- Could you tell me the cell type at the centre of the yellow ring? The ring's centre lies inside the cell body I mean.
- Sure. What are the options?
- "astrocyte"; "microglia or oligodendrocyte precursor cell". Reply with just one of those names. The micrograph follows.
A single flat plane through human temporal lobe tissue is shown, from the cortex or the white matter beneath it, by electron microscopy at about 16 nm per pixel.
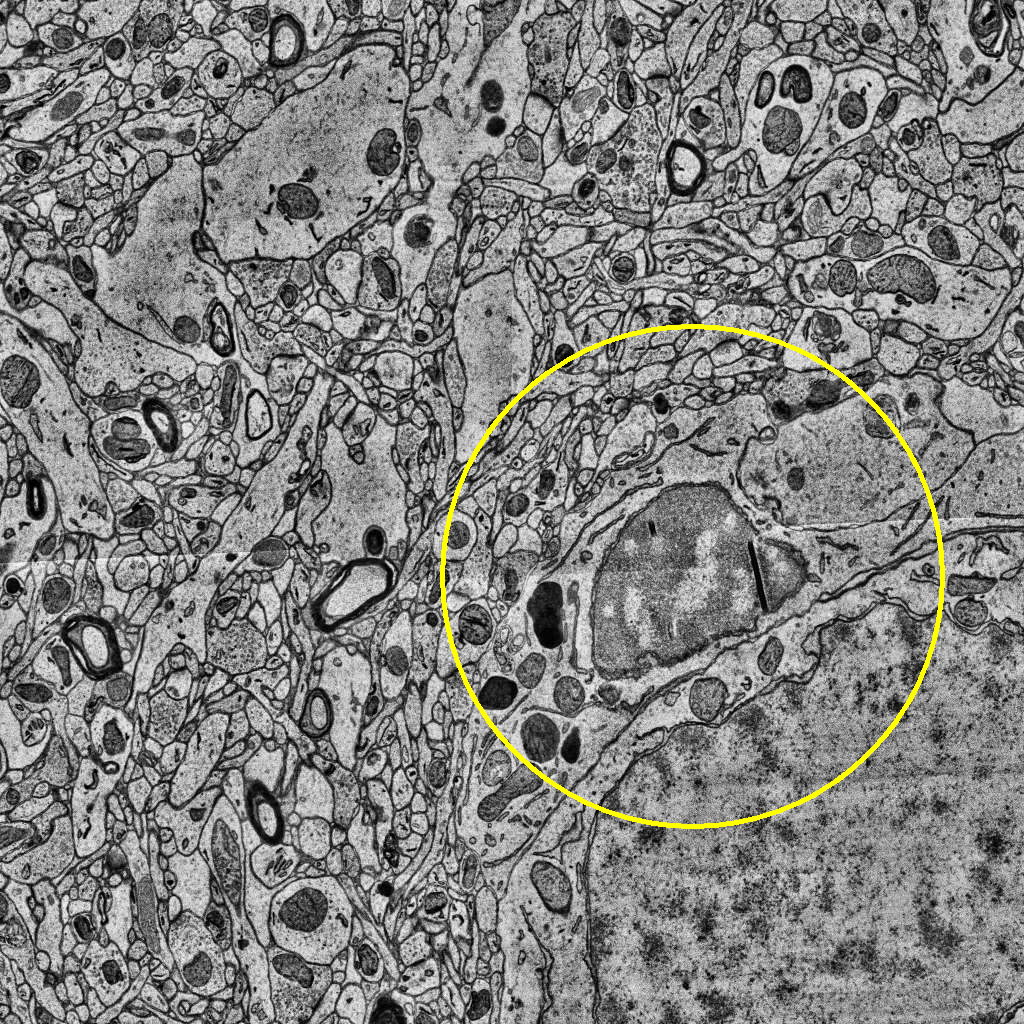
microglia or oligodendrocyte precursor cell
